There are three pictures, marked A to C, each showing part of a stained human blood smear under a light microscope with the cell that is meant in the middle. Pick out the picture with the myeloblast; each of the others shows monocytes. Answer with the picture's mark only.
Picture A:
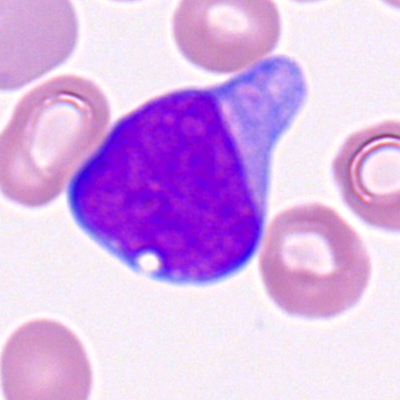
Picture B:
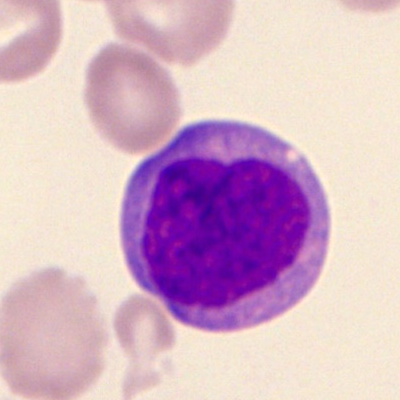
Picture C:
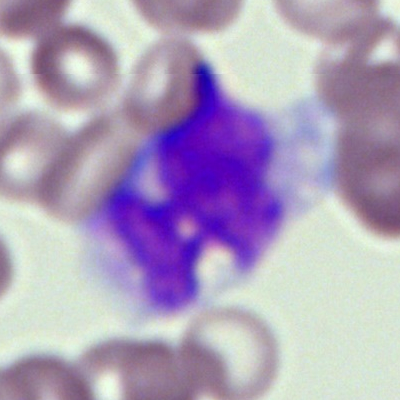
A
